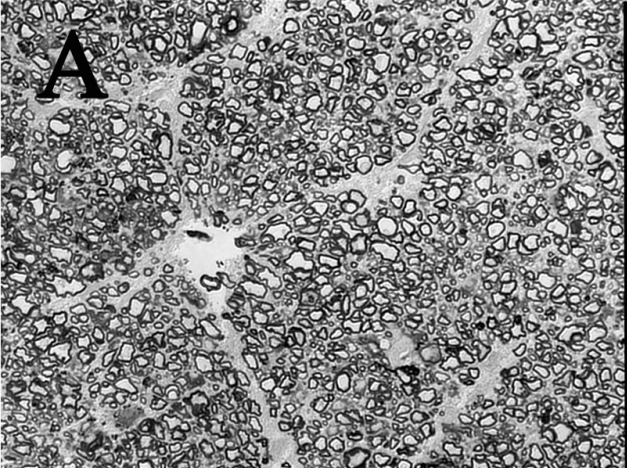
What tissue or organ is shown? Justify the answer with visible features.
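Cross-section of many small, densely packed myelinated fibers seen as dark rings. Fibers are grouped into polygonal bundles separated by thin pale septa. So: optic nerves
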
